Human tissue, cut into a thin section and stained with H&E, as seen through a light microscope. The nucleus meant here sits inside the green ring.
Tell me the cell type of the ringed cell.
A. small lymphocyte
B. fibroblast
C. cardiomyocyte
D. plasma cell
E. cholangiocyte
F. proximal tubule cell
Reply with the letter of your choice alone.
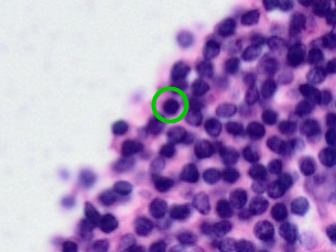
A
